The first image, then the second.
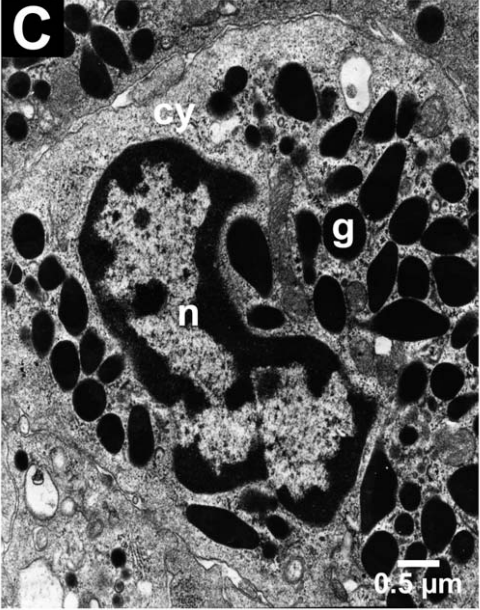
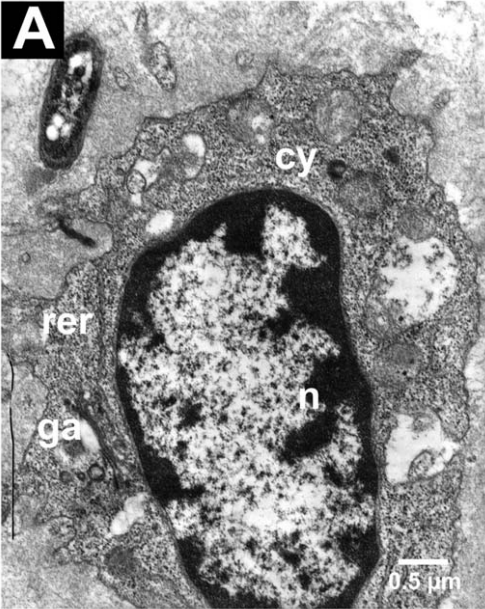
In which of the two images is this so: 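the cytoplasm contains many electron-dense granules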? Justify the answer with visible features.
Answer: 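First image: the cytoplasm is crowded with large, dark, oval granules. Second image: the cytoplasm has no dark granules, only pale vesicles and membranes. That points to this answer: the first image.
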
